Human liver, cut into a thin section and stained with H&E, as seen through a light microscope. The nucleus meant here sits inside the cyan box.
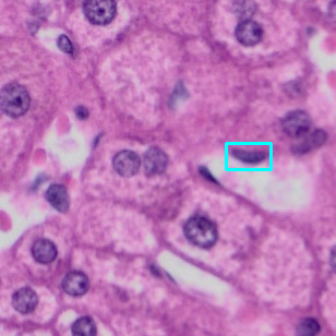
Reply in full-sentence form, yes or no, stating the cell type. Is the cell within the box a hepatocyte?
No, instead of a hepatocyte, the cell within the box is a fibroblast or stellate cell.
